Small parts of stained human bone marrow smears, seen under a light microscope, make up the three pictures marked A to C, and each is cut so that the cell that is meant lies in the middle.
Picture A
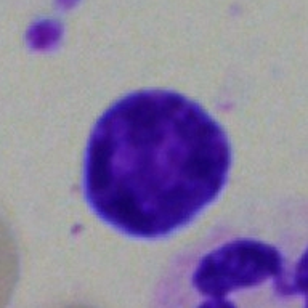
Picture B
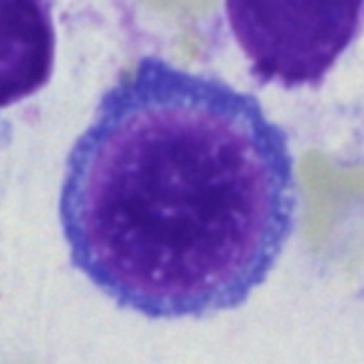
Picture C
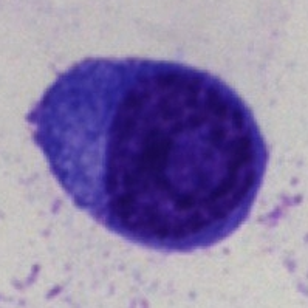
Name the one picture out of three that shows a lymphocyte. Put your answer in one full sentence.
The lymphocyte is the one in picture A.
